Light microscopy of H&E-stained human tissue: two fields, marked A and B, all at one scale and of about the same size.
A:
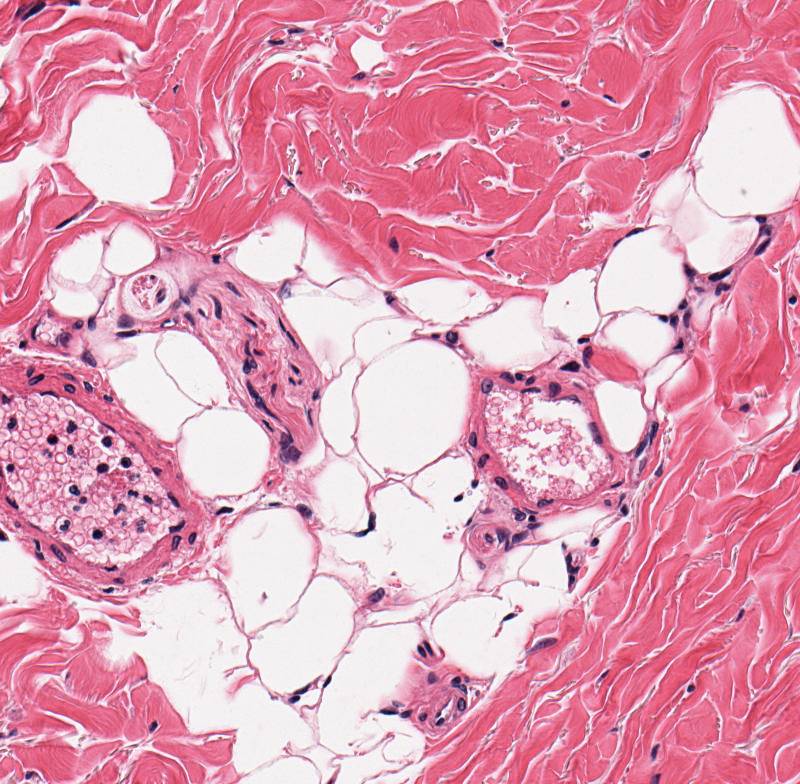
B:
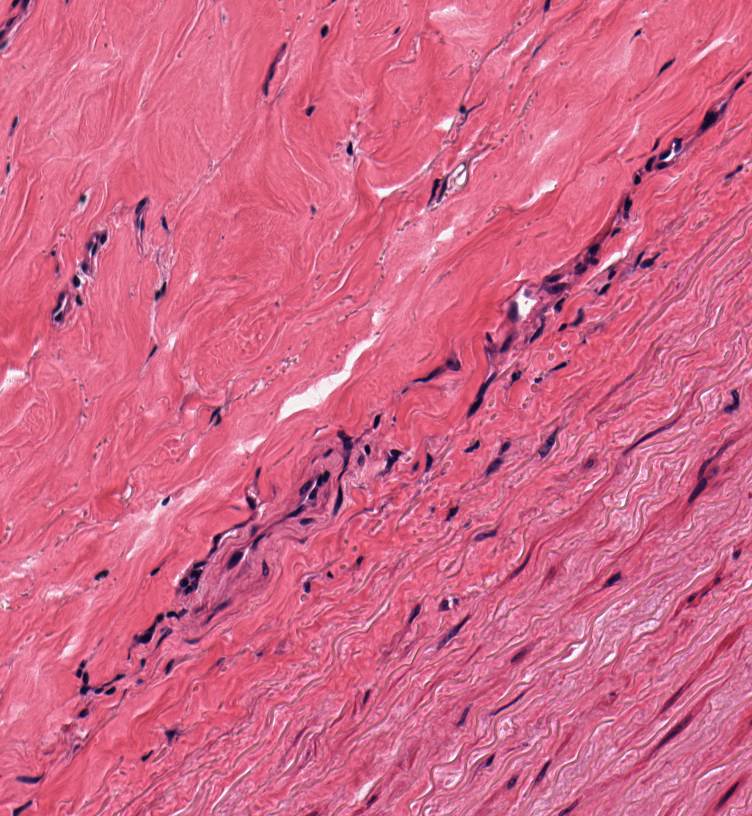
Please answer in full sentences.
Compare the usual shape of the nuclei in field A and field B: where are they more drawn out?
On the whole the nuclei of field B are more drawn out than those of field A.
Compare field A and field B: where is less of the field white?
Field B has less white space.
